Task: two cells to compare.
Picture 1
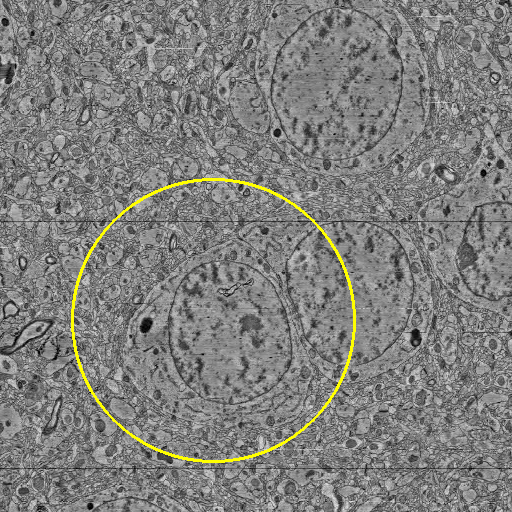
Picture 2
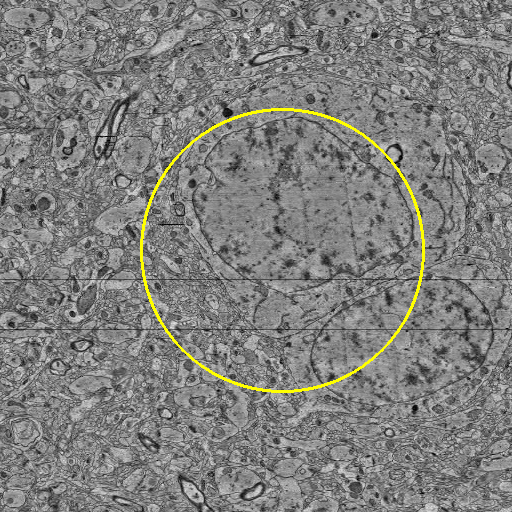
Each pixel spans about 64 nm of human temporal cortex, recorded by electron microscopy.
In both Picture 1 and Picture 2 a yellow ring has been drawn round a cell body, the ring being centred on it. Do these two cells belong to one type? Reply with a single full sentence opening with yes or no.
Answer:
Yes, the two cells at the ring centres in Picture 1 and Picture 2 share one type.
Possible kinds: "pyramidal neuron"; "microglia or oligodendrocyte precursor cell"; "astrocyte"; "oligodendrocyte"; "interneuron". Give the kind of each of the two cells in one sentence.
The cell at the ring centre is a pyramidal neuron in both pictures.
